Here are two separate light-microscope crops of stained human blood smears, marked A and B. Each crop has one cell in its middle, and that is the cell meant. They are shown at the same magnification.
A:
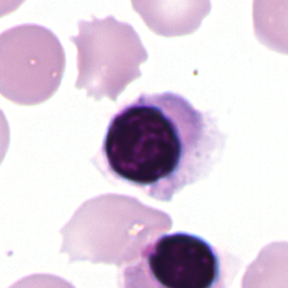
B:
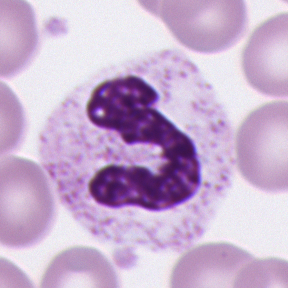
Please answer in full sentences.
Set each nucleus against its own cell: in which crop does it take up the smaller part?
It is the cell in crop B that is filled less by its nucleus.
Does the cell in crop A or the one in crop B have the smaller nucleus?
It is the nucleus in crop A; the one in crop B has about 2 times its area.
